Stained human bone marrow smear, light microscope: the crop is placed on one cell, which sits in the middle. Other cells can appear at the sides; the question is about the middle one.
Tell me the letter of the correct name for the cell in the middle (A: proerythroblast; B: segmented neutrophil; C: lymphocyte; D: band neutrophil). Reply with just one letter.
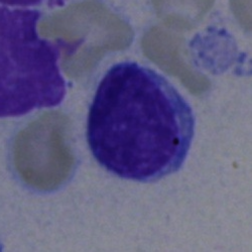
C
